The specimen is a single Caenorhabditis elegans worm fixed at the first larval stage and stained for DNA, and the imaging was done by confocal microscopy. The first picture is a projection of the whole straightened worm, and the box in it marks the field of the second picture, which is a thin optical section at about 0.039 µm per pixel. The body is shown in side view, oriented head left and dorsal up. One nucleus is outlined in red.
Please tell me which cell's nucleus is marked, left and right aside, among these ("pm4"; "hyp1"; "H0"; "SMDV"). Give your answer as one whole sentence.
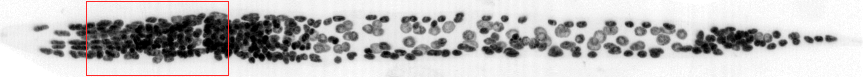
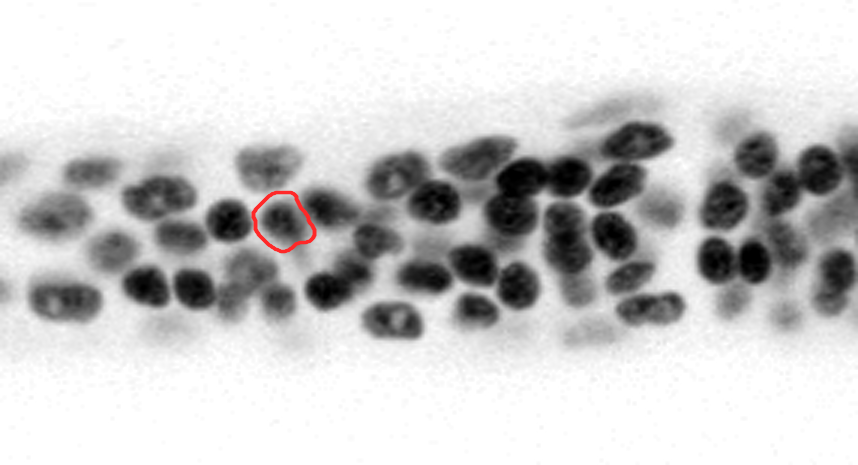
The marked nucleus belongs to hyp1, a hypodermal cell (hyp).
